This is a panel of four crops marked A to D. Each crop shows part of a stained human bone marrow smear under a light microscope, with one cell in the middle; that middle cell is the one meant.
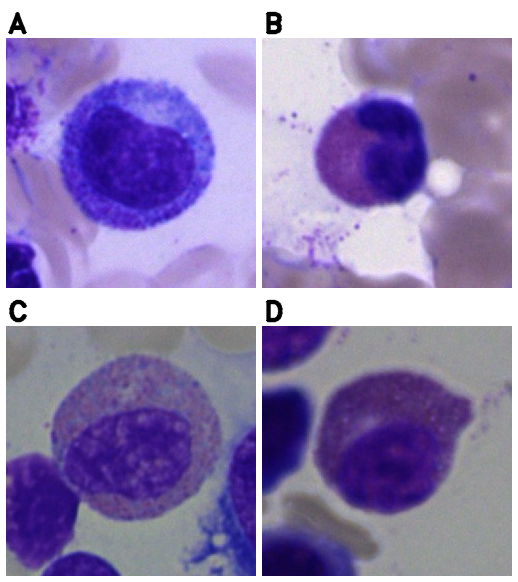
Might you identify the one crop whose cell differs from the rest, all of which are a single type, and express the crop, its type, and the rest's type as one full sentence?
The rest of the crops show eosinophils; crop A is the one showing a promyelocyte.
